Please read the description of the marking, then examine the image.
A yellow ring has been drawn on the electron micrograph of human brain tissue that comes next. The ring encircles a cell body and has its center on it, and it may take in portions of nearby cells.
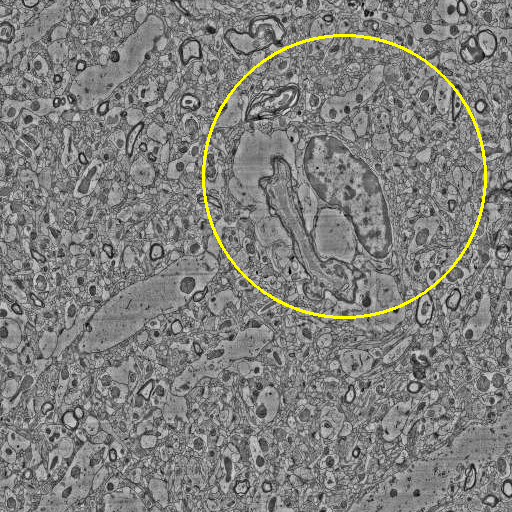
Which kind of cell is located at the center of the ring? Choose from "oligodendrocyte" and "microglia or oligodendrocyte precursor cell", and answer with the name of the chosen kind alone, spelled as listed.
microglia or oligodendrocyte precursor cell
